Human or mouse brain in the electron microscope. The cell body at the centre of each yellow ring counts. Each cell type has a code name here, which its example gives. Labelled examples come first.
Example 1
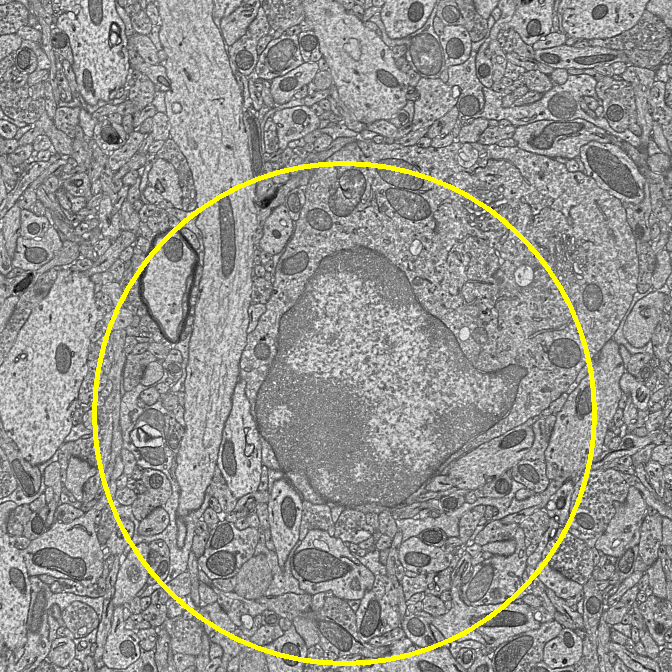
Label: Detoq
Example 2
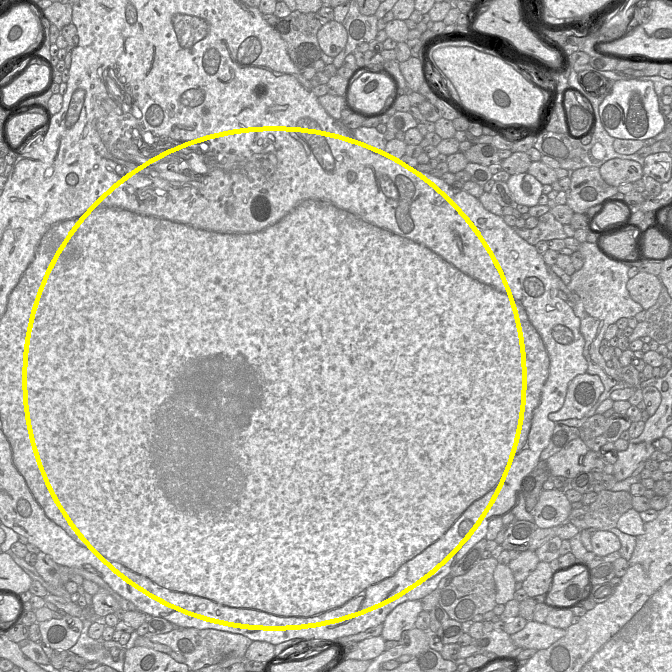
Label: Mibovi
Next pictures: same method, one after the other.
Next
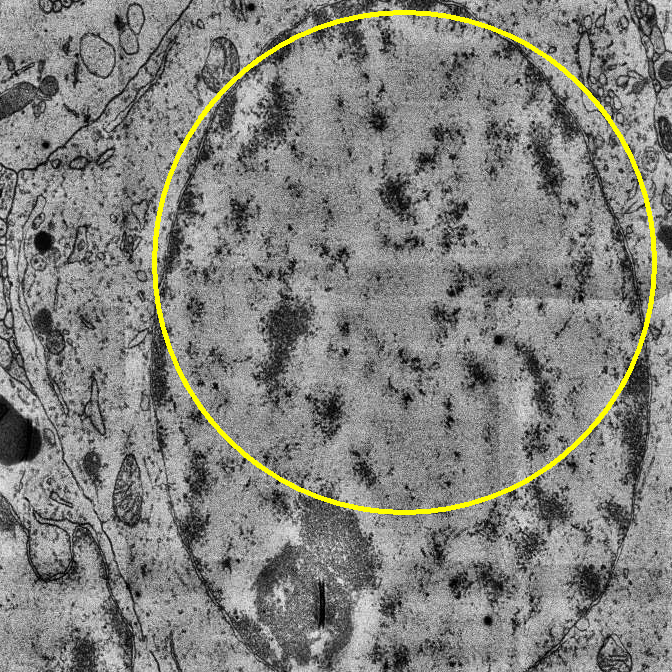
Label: Mibovi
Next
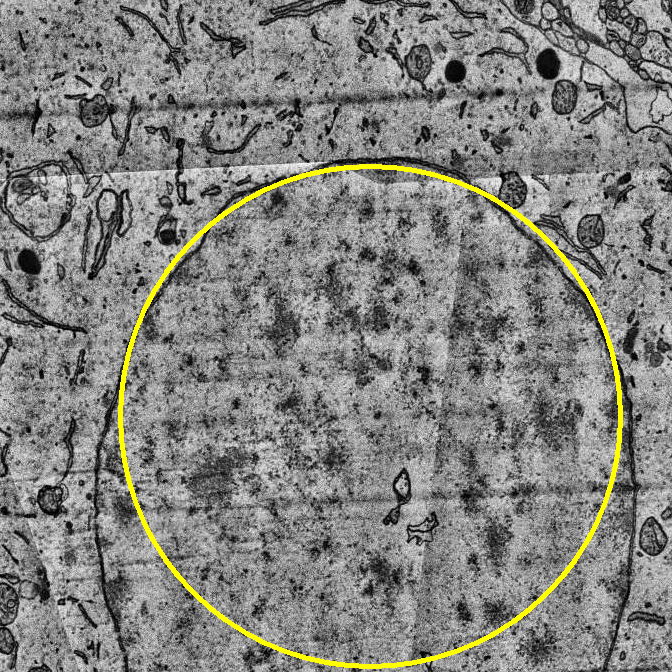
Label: Mibovi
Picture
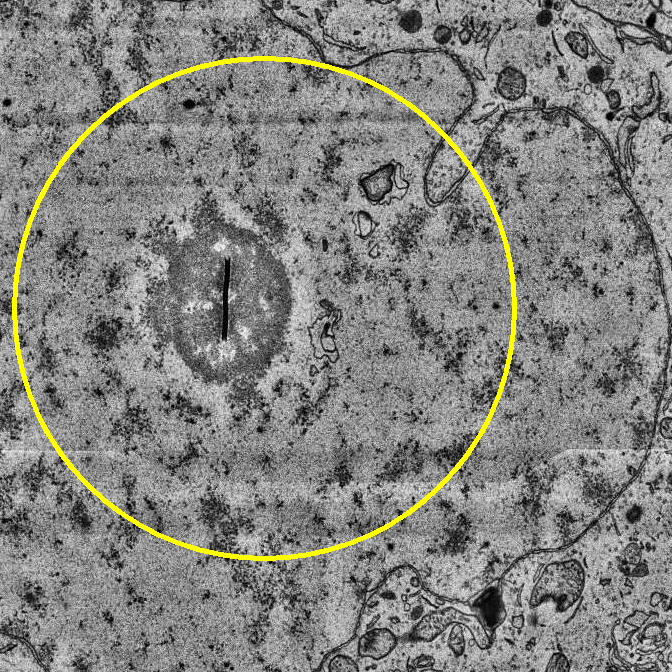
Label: Mibovi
